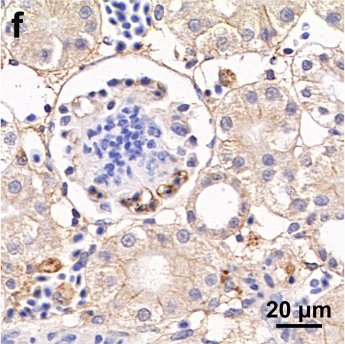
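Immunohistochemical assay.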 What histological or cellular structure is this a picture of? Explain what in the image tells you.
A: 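Glomeruli. A rounded tuft of densely packed blue nuclei in the centre. The tuft is surrounded by a clear space and a thin capsule. Tubule profiles lie around the capsule.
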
